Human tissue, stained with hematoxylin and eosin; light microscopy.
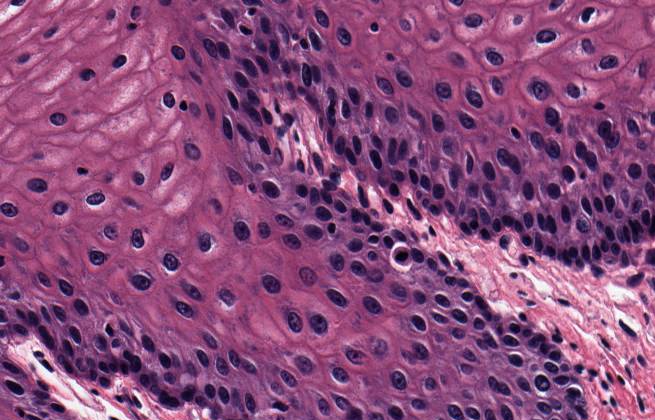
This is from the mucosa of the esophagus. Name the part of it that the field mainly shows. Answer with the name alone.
stratified squamous nonkeratinized epithelium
